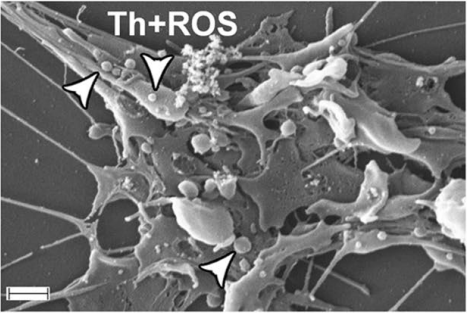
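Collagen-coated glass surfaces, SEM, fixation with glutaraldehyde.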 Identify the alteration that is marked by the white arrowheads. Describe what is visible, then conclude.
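Small round vesicles budding from cell surfaces and processes.
Answer: membrane blebbing and shedding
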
